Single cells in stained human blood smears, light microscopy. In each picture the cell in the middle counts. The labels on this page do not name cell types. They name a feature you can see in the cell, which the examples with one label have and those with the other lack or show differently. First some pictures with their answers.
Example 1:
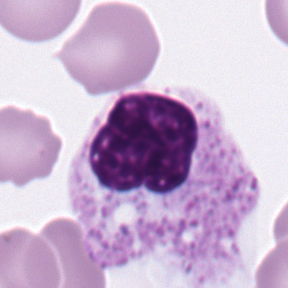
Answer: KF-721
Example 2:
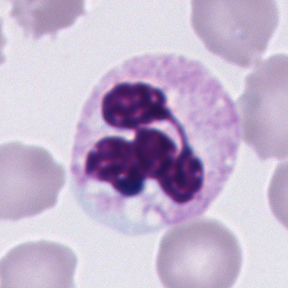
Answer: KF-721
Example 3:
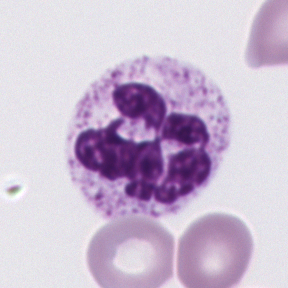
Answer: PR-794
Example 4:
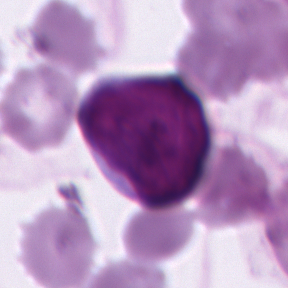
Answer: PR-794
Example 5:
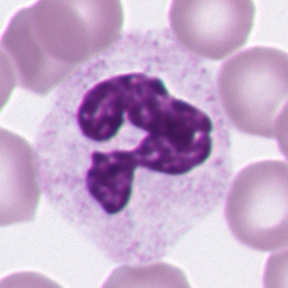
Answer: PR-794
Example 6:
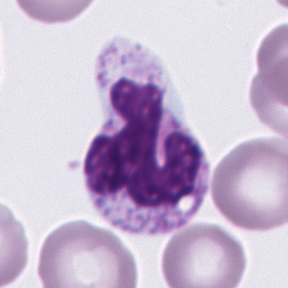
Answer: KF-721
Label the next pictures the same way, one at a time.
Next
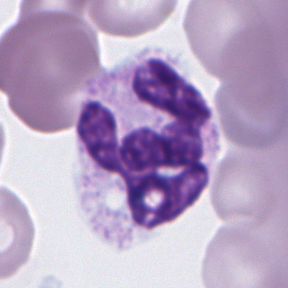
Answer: KF-721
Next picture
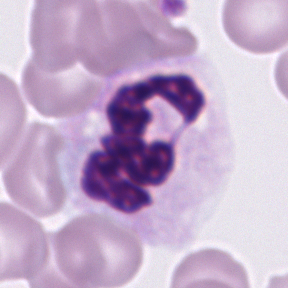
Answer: PR-794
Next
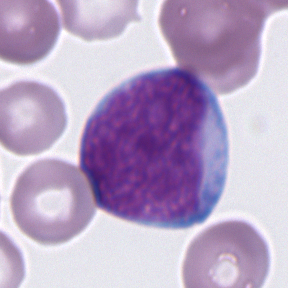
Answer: PR-794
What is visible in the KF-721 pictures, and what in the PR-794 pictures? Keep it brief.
KF-721: vacuoles present; PR-794: no vacuoles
